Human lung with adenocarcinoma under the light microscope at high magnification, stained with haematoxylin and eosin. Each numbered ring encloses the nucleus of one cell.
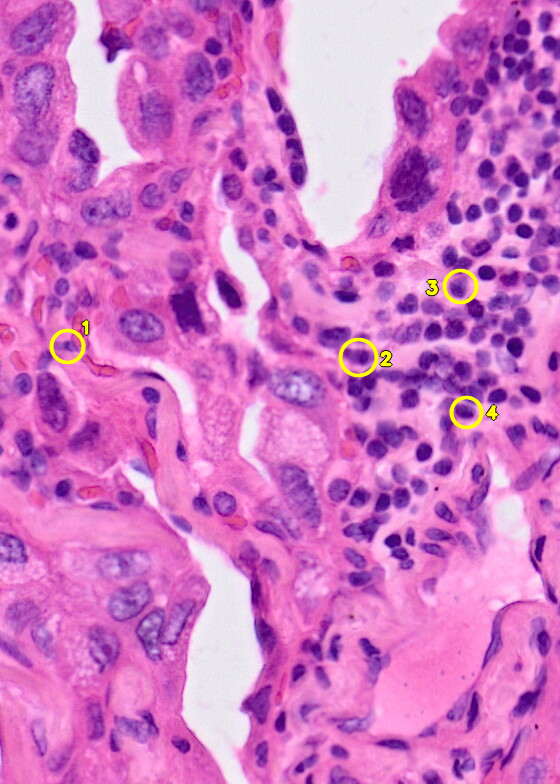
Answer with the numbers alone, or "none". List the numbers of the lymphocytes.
2, 3, 4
